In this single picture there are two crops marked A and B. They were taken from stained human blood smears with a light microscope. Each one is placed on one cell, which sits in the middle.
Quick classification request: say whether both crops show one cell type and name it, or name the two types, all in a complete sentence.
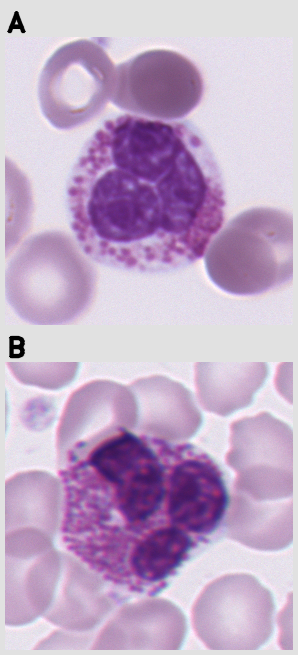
Yes, the cells at the middle of both crops are eosinophils.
